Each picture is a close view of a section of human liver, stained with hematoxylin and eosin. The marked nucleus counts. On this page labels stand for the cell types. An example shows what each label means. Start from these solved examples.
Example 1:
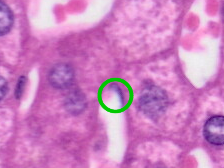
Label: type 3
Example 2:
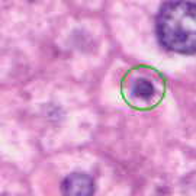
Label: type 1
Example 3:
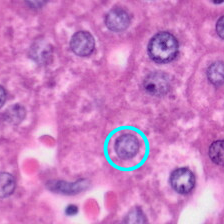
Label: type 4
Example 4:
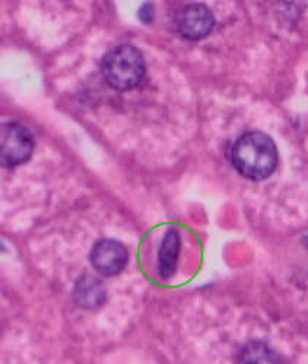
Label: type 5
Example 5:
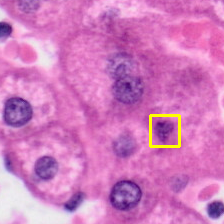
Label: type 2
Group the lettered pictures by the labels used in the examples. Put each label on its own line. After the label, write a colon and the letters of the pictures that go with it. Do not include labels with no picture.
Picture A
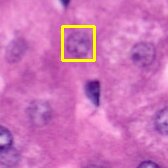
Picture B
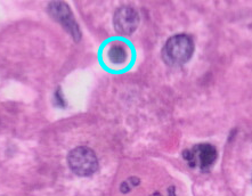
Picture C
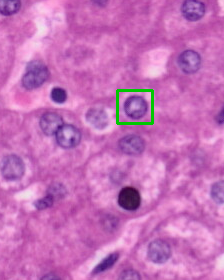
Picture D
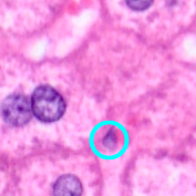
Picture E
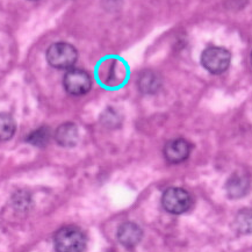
type 3: D
type 1: B
type 4: A, C
type 2: E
